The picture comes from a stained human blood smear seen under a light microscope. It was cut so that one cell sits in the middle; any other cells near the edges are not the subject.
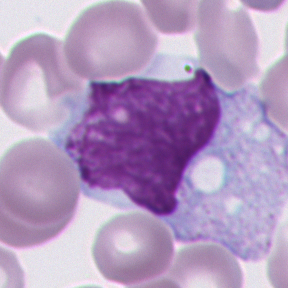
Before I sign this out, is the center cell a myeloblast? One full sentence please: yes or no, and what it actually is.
No, the central cell is not to be called a myeloblast, being a monocyte.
